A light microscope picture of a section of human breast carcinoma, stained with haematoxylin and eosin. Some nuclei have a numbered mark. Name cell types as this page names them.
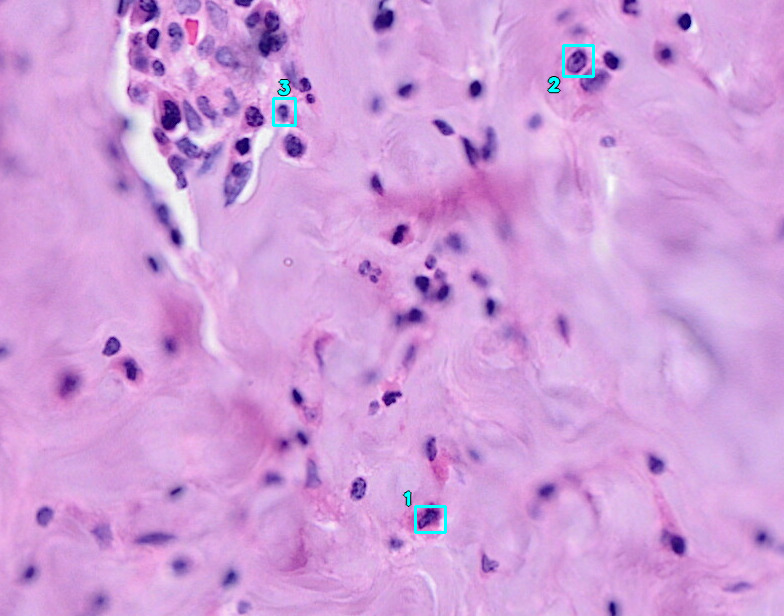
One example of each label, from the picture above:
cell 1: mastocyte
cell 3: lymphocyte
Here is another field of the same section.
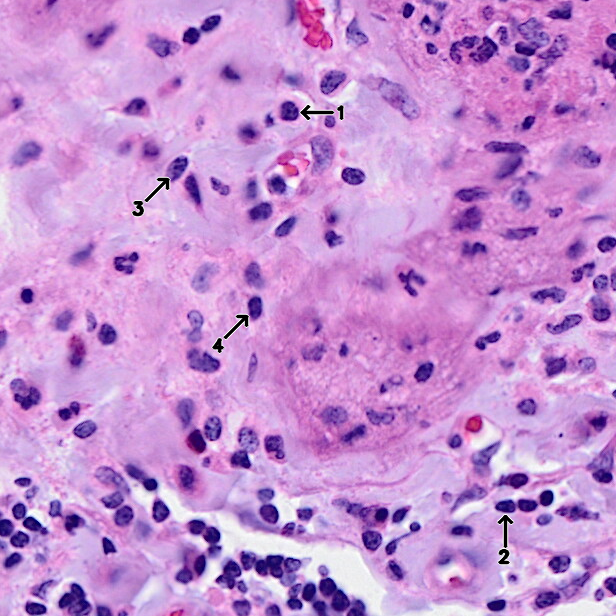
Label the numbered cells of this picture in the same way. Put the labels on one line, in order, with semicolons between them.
mastocyte; lymphocyte; lymphocyte; lymphocyte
